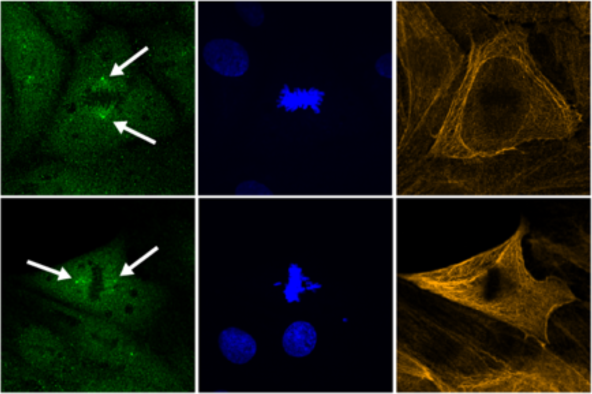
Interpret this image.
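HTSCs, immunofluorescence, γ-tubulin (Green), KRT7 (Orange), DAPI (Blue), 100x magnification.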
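These are cultured epithelial-like cells with a dividing cell at metaphase in the centre of each row. Its blue chromatin is condensed into a compact band of chromosomes, while neighbouring cells have round, evenly stained interphase nuclei. Small bright green foci, the centrosomes, lie on either side of the condensed chromosomes, at the poles of the dividing cell. A fainter diffuse green stain fills the cytoplasm of the cells.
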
